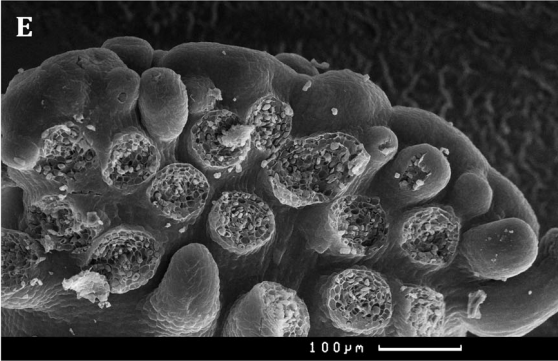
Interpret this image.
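This is the surface of a plant apex bearing many flower buds, seen in the scanning electron microscope. Toward the edge, young buds rise as smooth, finger-like or rounded bumps. The whole head is wider and more crowded than a simple narrow tip would be.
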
